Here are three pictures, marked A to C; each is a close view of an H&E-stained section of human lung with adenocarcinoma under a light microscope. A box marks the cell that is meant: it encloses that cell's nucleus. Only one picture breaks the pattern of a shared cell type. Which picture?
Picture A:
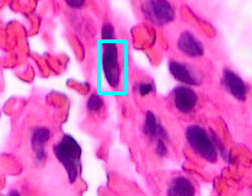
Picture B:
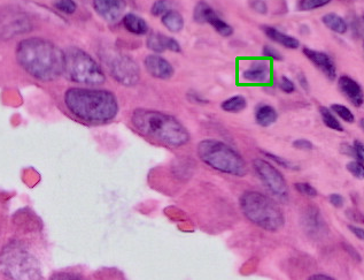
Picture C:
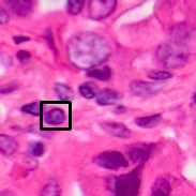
A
